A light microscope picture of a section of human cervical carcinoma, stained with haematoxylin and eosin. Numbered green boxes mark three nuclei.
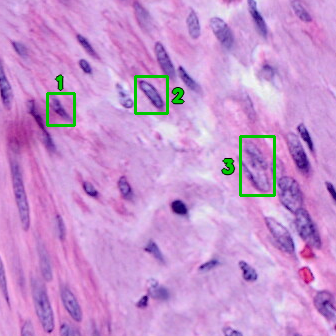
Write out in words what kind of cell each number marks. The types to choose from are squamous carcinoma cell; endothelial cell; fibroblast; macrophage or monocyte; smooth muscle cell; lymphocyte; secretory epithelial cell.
Cells 1 and 2 are smooth muscle cells. Cell 3 is an endothelial cell.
